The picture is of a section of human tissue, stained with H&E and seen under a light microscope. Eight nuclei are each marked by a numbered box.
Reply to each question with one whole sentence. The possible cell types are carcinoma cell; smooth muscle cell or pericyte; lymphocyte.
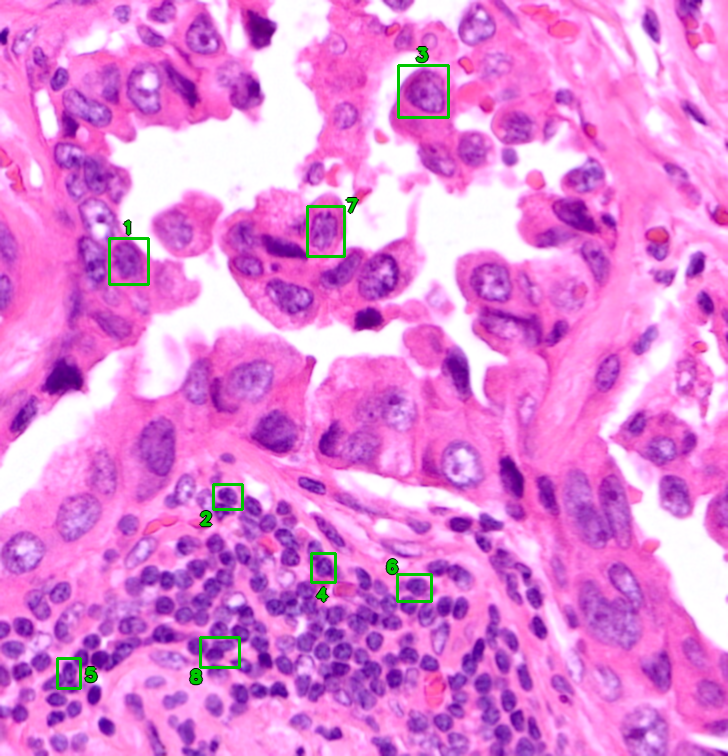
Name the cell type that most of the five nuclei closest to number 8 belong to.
Around number 8, most of the five nearest nuclei are those of lymphocytes.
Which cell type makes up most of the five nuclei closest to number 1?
Of the five nuclei nearest to number 1, most belong to carcinoma cells.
